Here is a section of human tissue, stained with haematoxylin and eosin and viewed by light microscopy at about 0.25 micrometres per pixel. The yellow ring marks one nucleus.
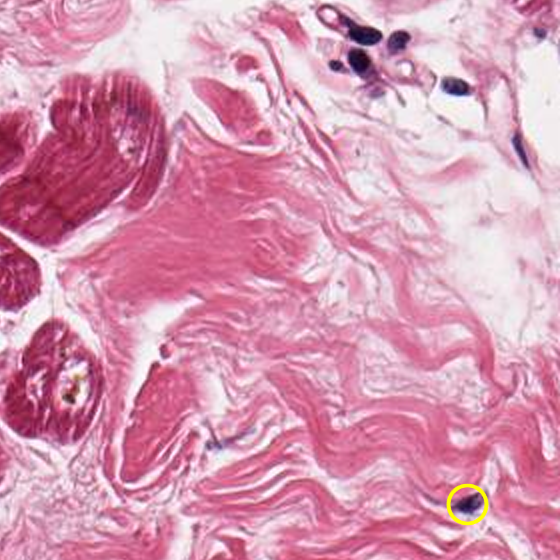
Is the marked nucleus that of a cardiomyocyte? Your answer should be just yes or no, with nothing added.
no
